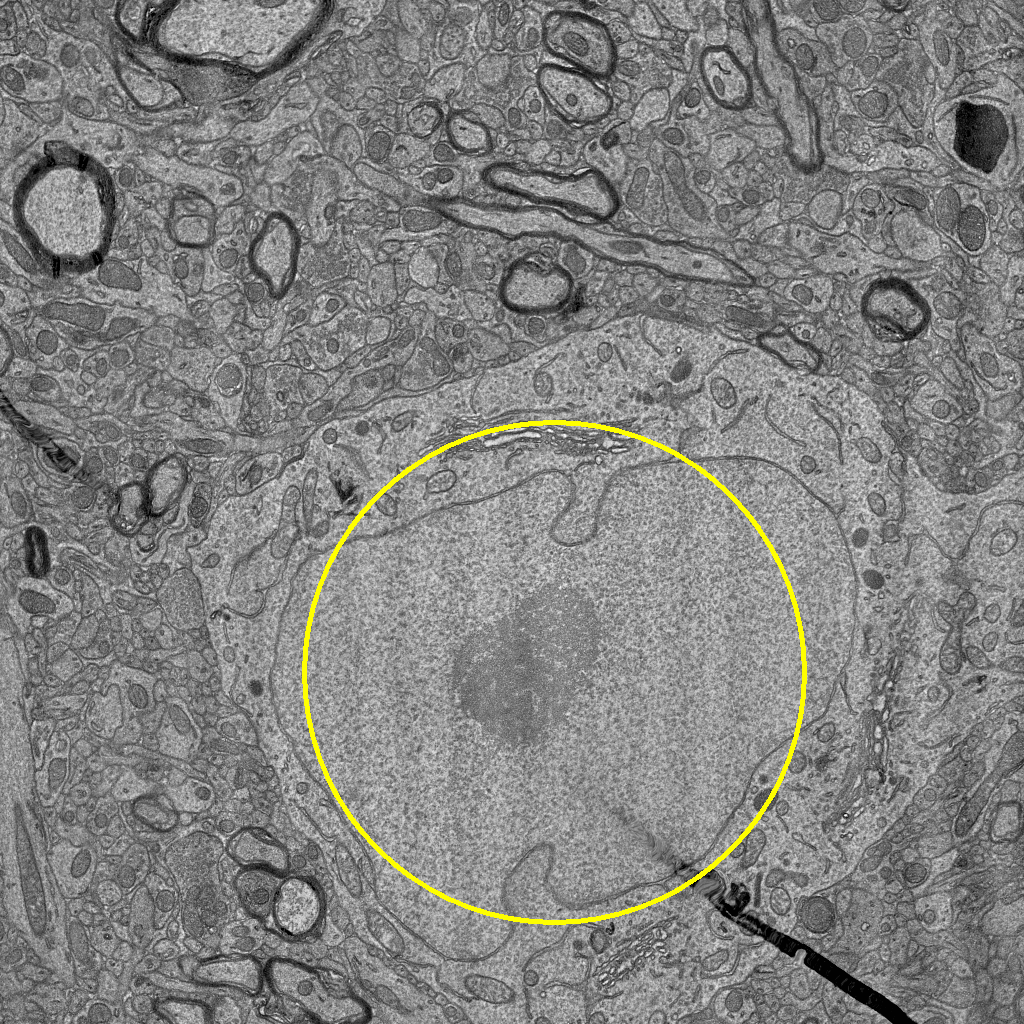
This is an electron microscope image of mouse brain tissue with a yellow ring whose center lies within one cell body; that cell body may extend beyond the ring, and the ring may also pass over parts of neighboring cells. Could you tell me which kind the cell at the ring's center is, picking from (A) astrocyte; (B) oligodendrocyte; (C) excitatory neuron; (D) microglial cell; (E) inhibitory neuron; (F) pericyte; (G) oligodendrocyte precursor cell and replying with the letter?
E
